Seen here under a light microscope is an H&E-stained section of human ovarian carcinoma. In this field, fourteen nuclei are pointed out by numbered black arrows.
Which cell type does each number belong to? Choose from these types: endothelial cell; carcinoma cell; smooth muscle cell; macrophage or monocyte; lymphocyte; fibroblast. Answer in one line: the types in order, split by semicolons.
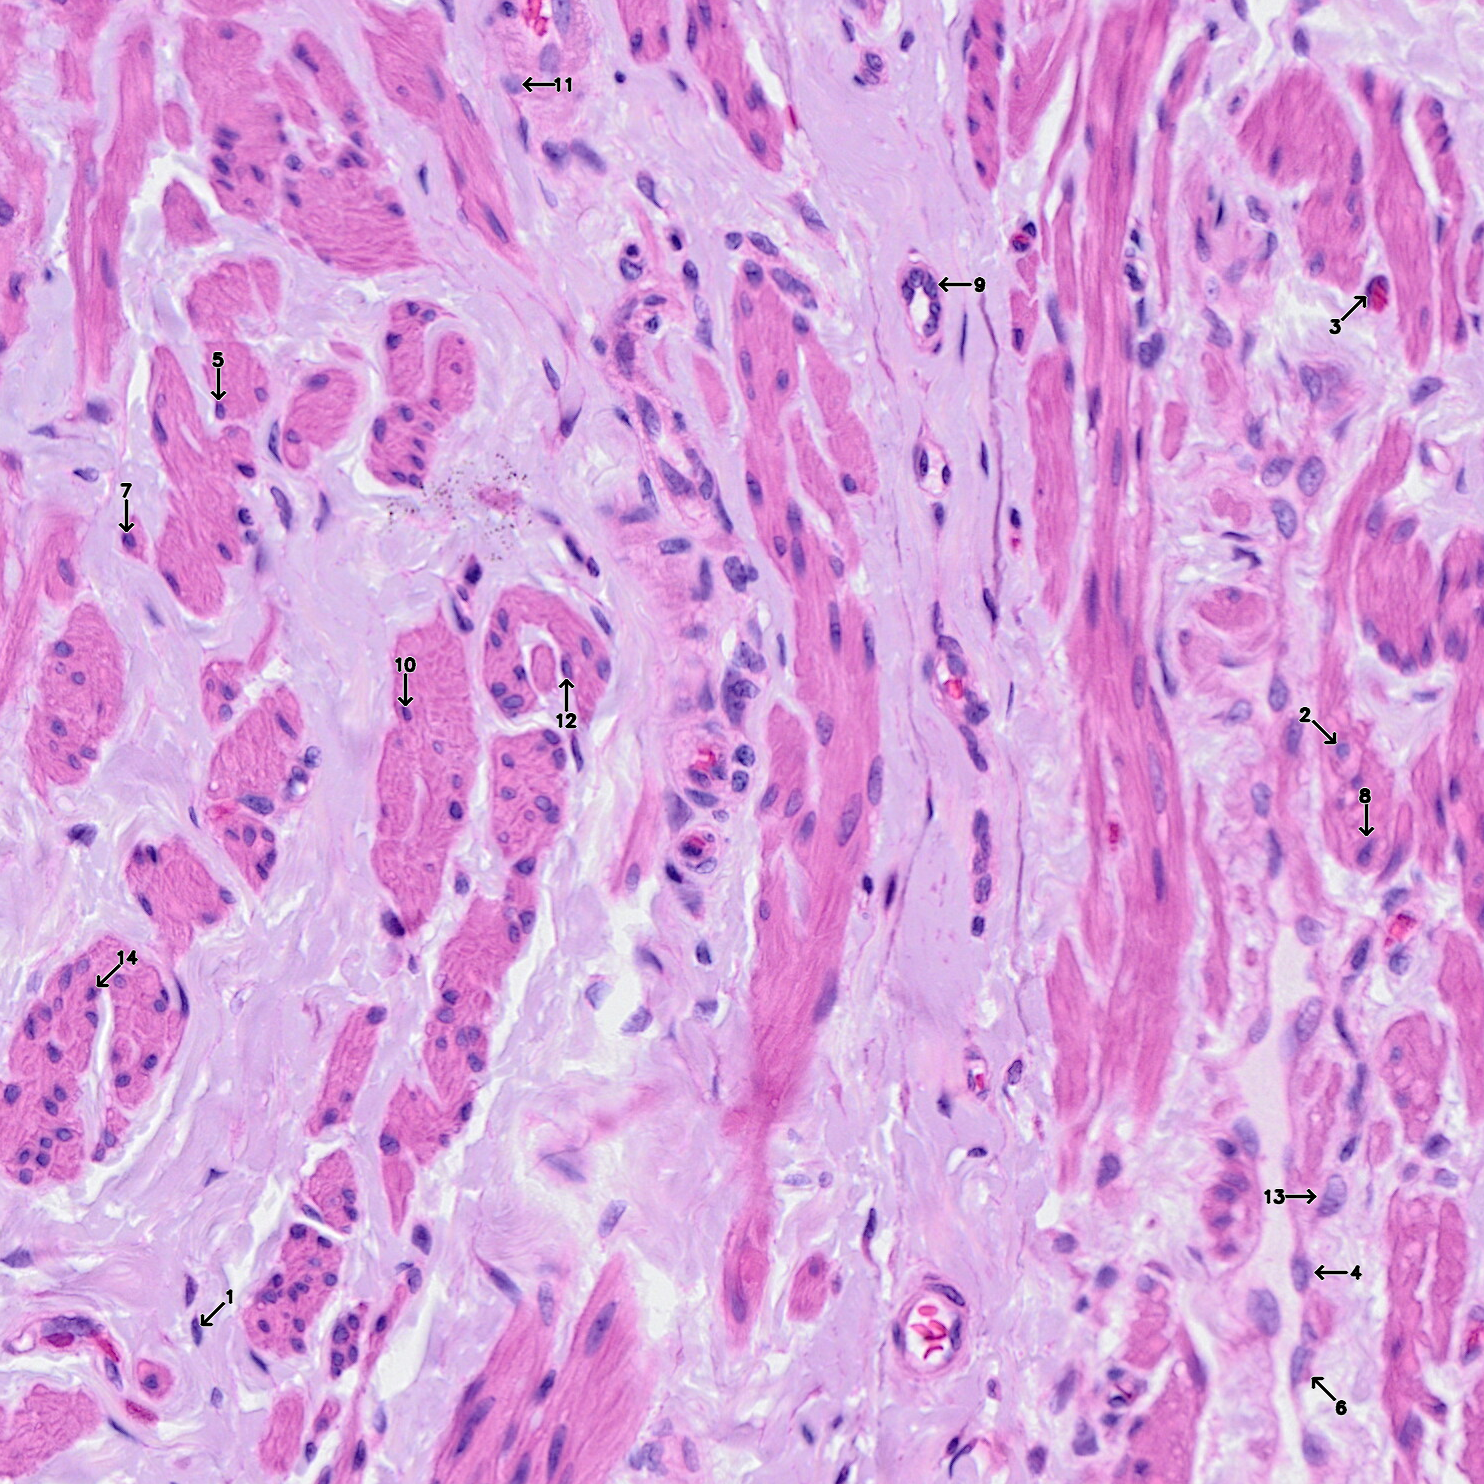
fibroblast; smooth muscle cell; endothelial cell; endothelial cell; smooth muscle cell; endothelial cell; smooth muscle cell; smooth muscle cell; endothelial cell; smooth muscle cell; smooth muscle cell; smooth muscle cell; fibroblast; smooth muscle cell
